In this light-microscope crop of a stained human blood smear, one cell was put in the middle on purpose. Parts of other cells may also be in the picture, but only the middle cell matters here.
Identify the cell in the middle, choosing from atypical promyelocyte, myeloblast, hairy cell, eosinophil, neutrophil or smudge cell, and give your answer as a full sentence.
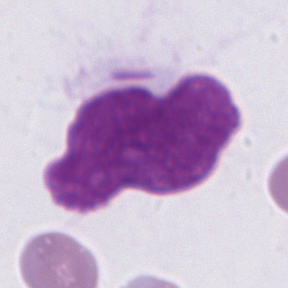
What the crop centres on is a smudge cell.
